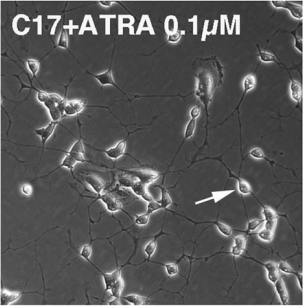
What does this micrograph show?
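These are cultured neuron-like cells in phase contrast, many of them with compact, rounded, phase-bright cell bodies. Long, very thin processes run out from the cell bodies and join into a network of fine threads across the field. Some rounded cells lie in small loose clusters, while others stand singly, linked to neighbours only by their processes. A few cells are flatter and spindle-shaped, with less bright outlines.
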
